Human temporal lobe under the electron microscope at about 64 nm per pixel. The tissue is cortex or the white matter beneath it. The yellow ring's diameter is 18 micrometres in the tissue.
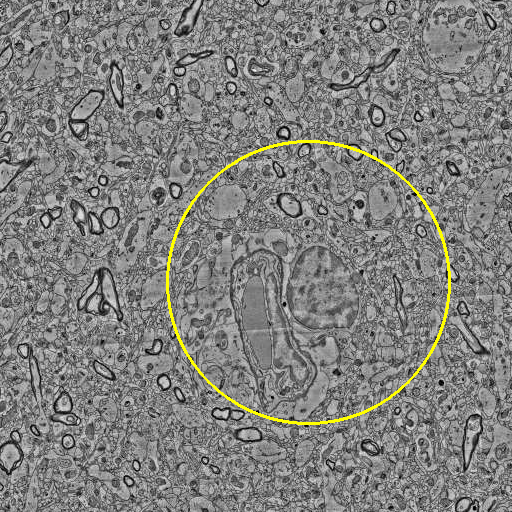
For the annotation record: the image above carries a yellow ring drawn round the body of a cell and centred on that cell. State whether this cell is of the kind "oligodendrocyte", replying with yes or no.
Yes, this cell is of that kind.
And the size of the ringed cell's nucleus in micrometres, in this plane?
About 6 by 4 micrometers, in this plane.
